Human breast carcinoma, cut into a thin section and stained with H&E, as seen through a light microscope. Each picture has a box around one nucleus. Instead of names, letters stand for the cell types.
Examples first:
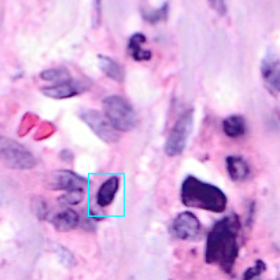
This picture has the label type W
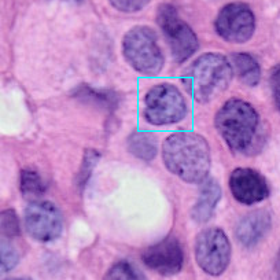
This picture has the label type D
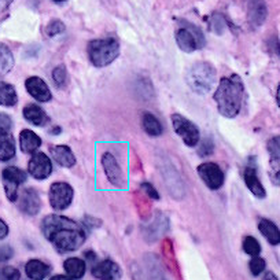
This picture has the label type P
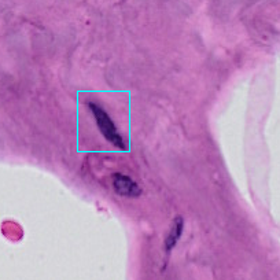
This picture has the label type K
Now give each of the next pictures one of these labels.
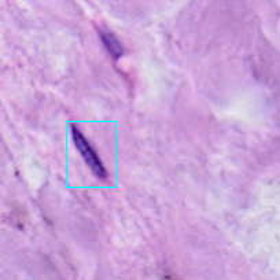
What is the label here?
type K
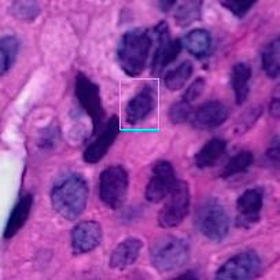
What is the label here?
type D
